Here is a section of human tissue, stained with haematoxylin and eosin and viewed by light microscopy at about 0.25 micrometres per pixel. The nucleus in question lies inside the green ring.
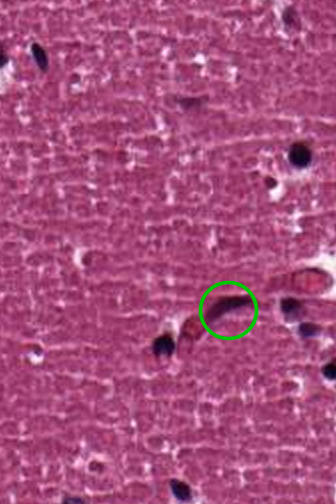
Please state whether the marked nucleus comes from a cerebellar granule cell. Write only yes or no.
no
